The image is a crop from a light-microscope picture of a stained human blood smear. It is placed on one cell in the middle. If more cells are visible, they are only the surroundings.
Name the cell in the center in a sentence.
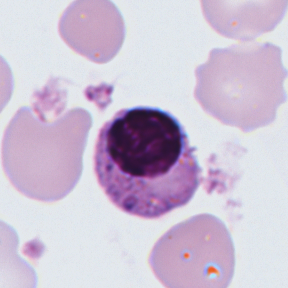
In the central position of this crop, the cell is a normoblast.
